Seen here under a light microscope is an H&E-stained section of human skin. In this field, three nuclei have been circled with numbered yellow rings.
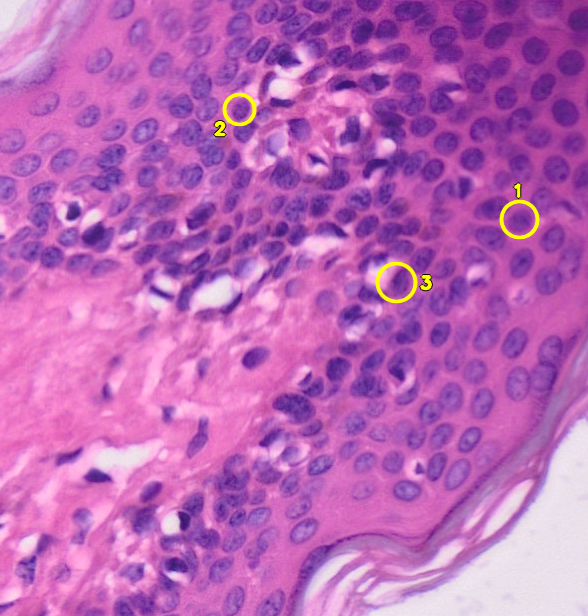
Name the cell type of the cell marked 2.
basal keratinocyte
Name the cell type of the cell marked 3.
basal keratinocyte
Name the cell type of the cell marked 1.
suprabasal keratinocyte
